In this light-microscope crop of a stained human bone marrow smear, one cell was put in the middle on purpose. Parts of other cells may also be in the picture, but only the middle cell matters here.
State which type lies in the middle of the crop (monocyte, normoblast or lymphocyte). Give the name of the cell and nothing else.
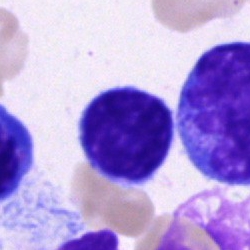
lymphocyte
